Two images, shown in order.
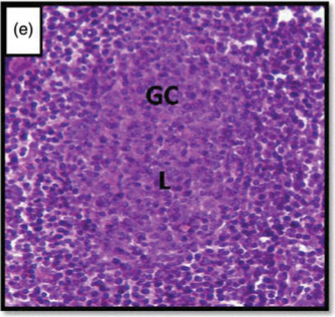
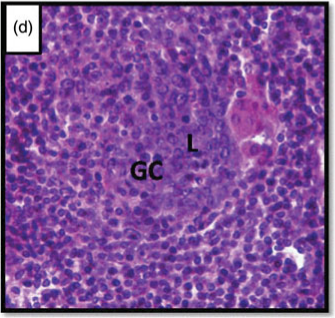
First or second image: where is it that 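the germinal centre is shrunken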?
The second image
